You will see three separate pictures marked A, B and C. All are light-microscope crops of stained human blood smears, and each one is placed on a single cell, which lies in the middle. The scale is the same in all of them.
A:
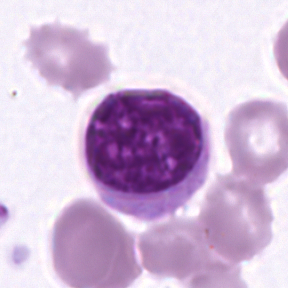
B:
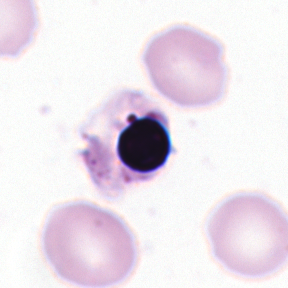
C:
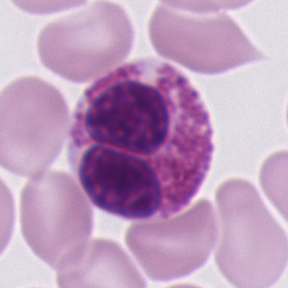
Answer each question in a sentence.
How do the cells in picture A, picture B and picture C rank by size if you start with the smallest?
Going up, they run B, A, C.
